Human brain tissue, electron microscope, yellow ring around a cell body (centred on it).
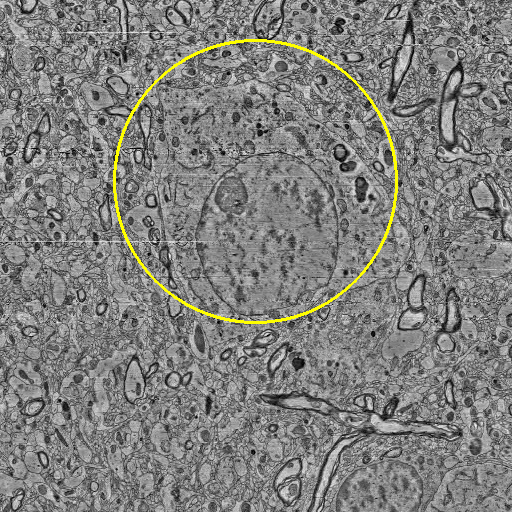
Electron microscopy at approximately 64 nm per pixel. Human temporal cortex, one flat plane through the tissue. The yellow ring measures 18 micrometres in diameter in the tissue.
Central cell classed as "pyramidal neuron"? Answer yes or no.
yes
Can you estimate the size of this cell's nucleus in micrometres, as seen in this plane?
In this plane the nucleus is about 11 micrometres by 9.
